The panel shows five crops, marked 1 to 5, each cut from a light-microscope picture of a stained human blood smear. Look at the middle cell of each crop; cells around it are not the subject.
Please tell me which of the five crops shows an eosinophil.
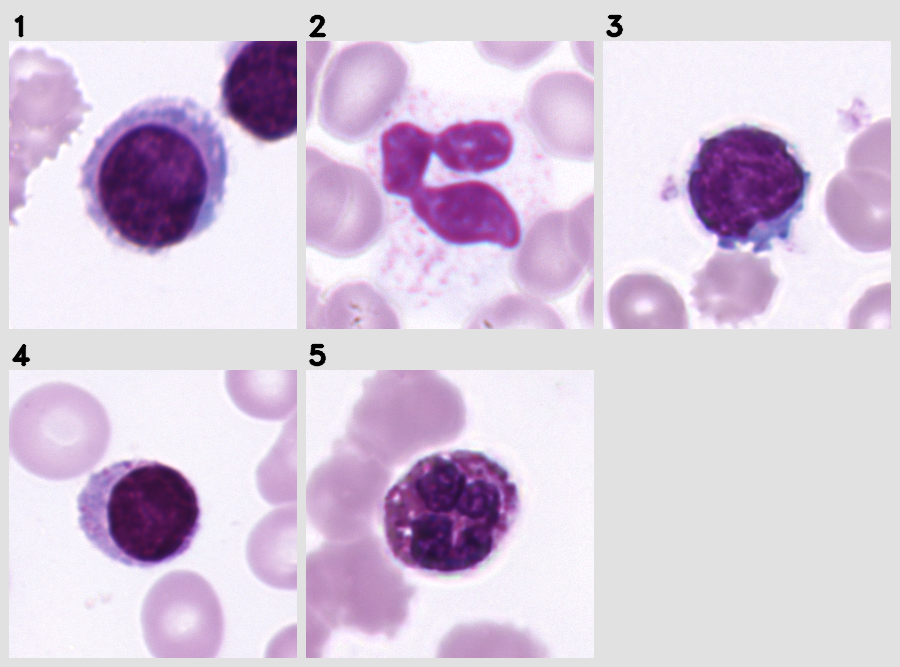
5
